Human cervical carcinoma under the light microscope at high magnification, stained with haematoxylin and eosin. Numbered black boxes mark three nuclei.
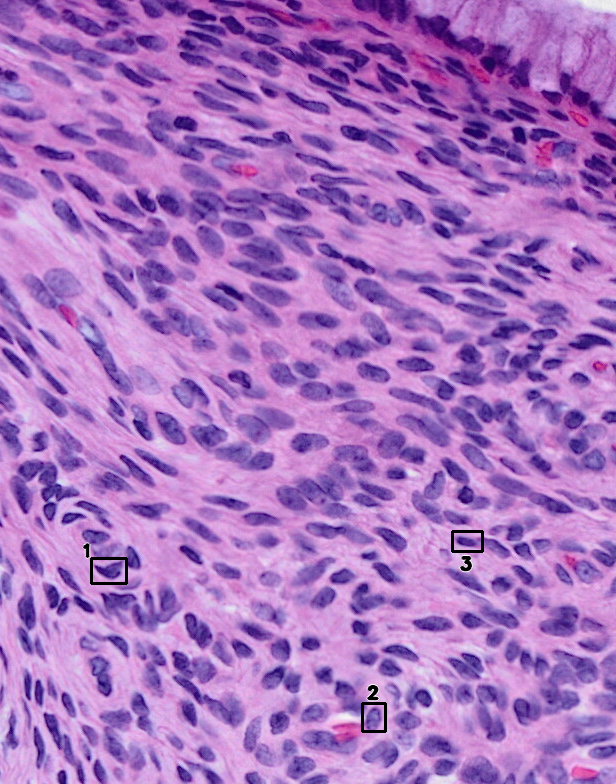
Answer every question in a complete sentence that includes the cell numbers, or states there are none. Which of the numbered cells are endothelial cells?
Of the numbered nuclei, only the one labelled 2 belongs to an endothelial cell.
